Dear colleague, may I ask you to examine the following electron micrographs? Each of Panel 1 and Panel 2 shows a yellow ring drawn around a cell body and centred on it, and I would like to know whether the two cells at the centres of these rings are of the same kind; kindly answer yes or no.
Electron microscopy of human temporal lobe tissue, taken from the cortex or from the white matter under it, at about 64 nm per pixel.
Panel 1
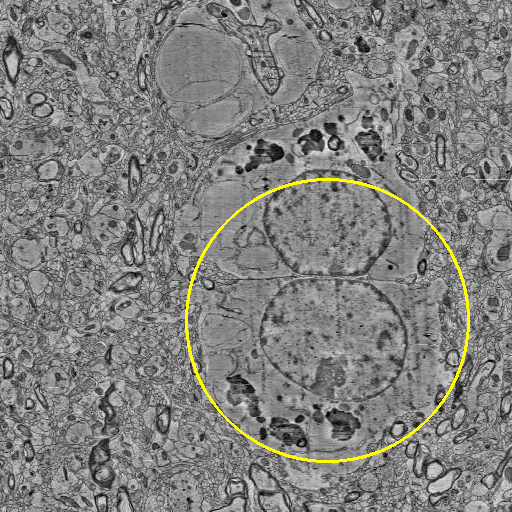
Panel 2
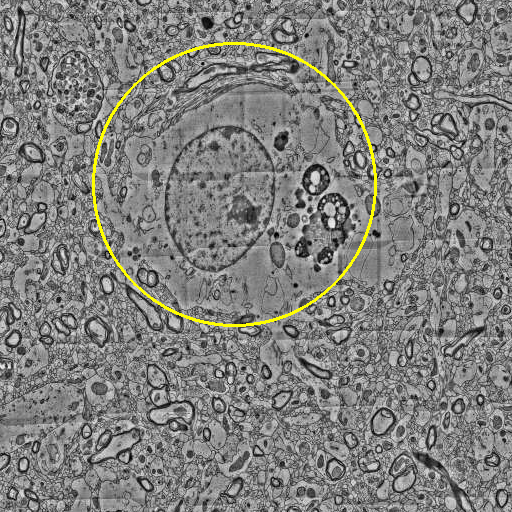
yes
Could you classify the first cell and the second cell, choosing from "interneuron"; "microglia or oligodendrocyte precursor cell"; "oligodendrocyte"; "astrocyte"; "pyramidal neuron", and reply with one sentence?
The second cell is an astrocyte, just as the first is.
